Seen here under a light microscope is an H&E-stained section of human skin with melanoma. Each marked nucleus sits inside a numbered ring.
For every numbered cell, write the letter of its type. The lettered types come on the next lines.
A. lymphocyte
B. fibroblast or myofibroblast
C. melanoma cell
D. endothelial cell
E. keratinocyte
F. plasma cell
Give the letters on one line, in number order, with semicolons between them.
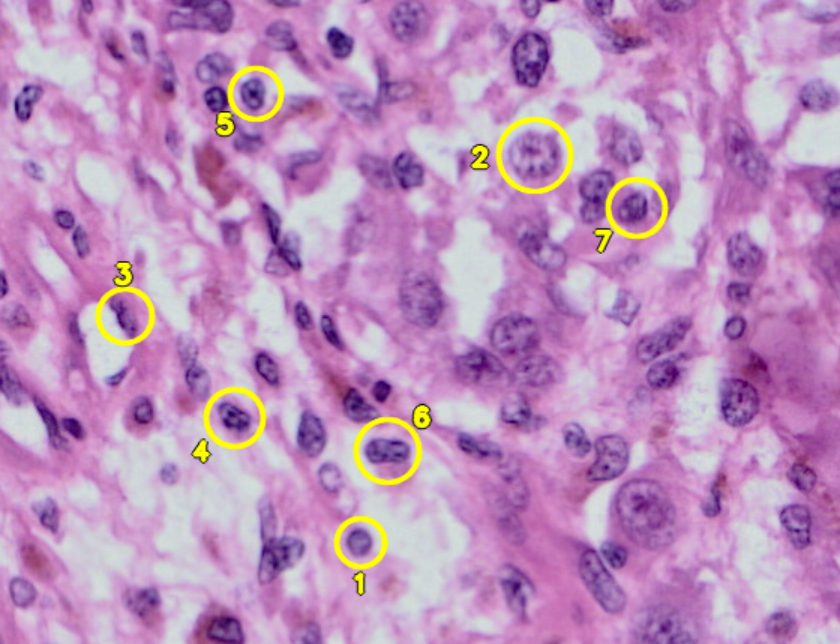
A; C; D; F; A; A; C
